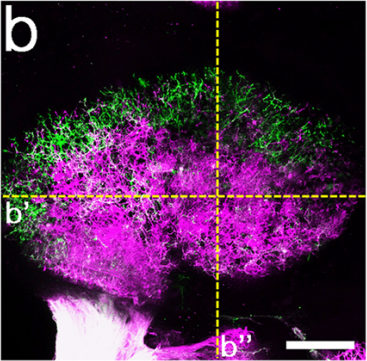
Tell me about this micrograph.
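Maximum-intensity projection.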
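The fibres form a dense meshwork of fine, branching processes spread over an oval sensory patch. At the lower left a thick, bright bundle of fibres enters the patch.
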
